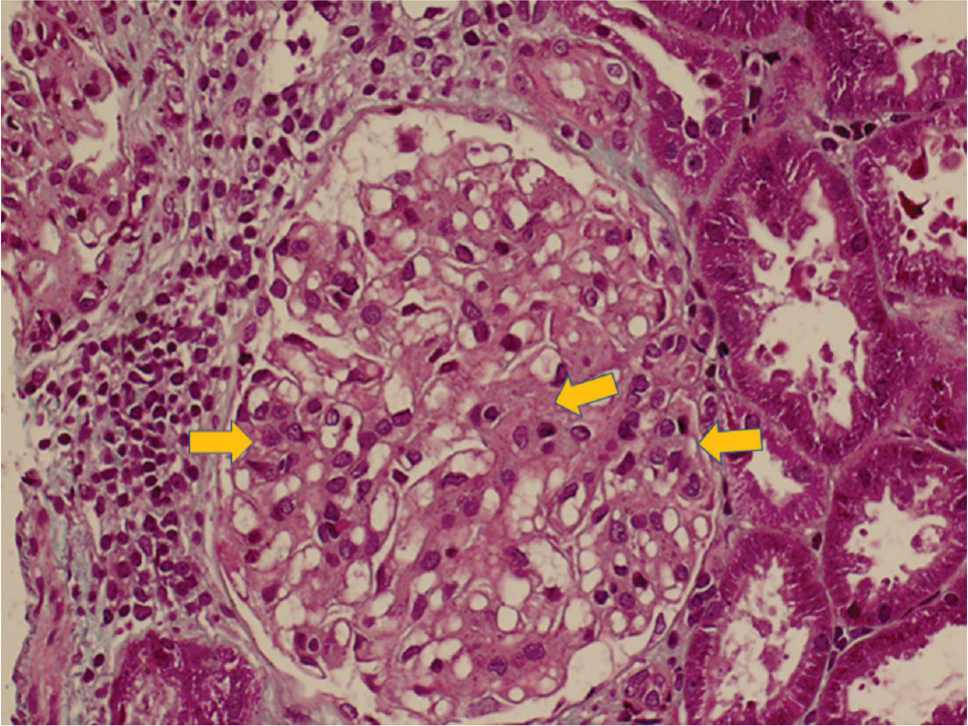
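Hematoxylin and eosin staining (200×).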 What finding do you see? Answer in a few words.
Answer: Mononuclear cells infiltration in the interstitium.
